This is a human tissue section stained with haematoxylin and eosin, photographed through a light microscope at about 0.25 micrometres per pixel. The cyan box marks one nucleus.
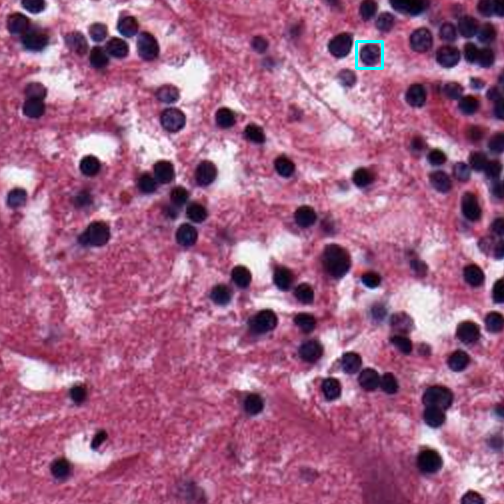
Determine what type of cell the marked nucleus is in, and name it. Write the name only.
cerebellar granule cell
